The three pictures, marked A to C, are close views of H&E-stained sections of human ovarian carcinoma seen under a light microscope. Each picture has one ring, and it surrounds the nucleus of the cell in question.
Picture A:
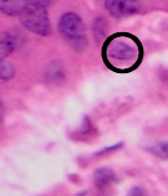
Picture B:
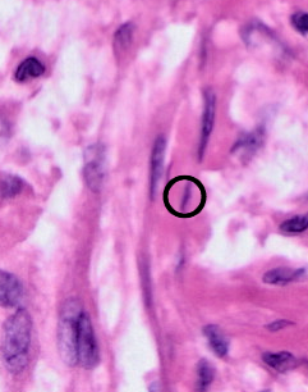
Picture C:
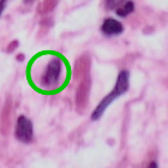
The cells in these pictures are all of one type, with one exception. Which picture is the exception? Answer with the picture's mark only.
A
